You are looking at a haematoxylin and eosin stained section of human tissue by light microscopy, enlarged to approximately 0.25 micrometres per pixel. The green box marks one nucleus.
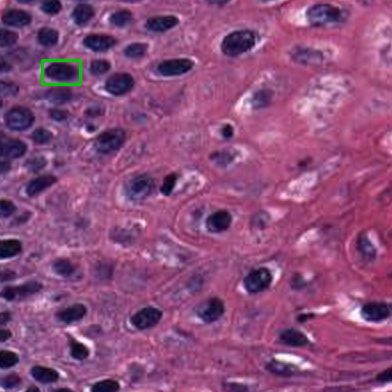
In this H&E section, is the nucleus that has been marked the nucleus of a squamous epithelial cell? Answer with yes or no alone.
yes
